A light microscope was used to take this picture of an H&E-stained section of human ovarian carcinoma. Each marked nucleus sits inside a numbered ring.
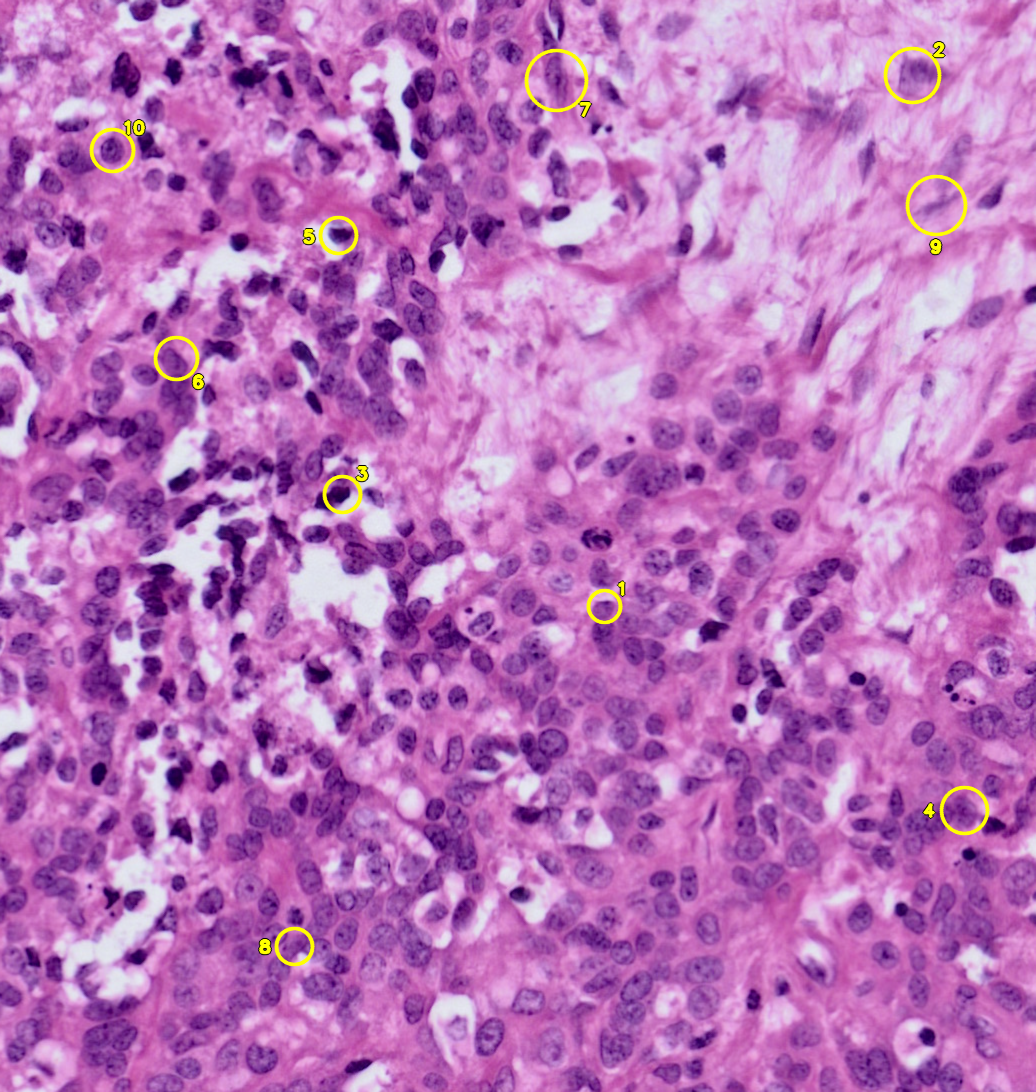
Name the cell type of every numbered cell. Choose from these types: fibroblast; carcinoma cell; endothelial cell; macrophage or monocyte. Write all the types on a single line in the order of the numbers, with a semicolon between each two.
carcinoma cell; fibroblast; carcinoma cell; carcinoma cell; carcinoma cell; carcinoma cell; endothelial cell; carcinoma cell; fibroblast; macrophage or monocyte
